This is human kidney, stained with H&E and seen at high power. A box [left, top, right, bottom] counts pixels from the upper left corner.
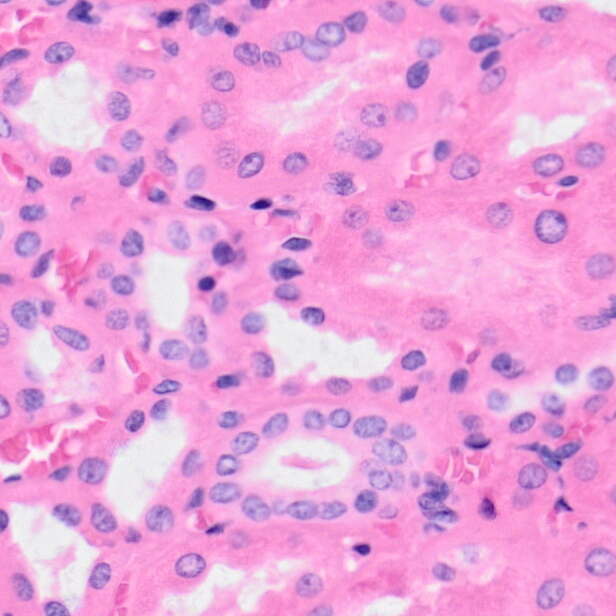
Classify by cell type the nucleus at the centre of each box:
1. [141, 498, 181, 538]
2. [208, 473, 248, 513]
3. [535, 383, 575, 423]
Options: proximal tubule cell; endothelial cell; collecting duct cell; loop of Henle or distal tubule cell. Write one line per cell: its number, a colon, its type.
1: loop of Henle or distal tubule cell
2: collecting duct cell
3: loop of Henle or distal tubule cell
